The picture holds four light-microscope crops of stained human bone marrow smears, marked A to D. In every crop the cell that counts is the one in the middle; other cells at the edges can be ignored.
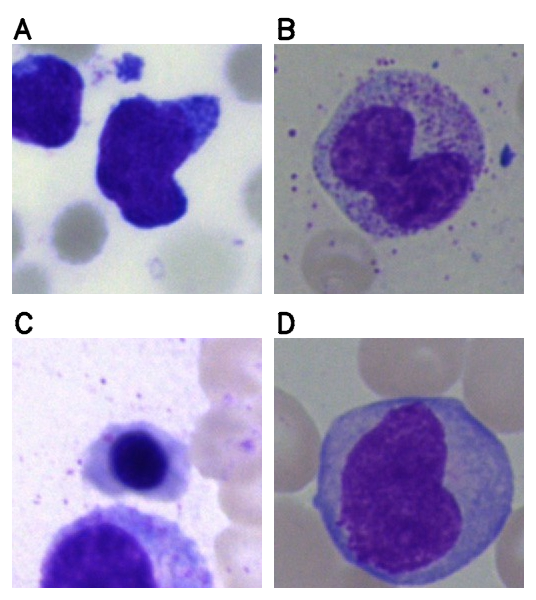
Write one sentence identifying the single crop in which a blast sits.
The sole crop showing a blast is crop A.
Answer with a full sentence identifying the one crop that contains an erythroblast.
Crop C shows an erythroblast, and no other crop does.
